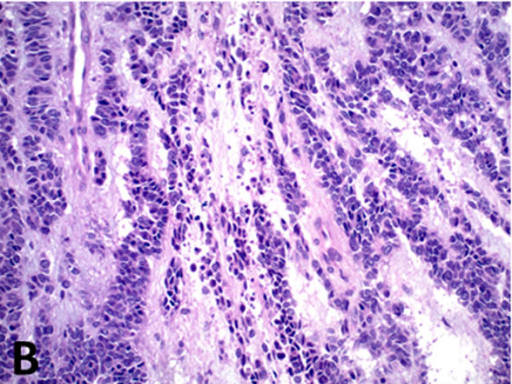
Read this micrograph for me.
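Tumor cells with dark oval to elongated nuclei are lined up in narrow cords and strands that run diagonally across the field. Between the cords lies pale pink to nearly clear loose stroma. Some cells are rounder and others more drawn out, with scant cytoplasm and nuclei that crowd against each other along the cords. The picture is of rounded epithelioid to spindle shaped cells arranged in a trabecular-like pattern.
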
